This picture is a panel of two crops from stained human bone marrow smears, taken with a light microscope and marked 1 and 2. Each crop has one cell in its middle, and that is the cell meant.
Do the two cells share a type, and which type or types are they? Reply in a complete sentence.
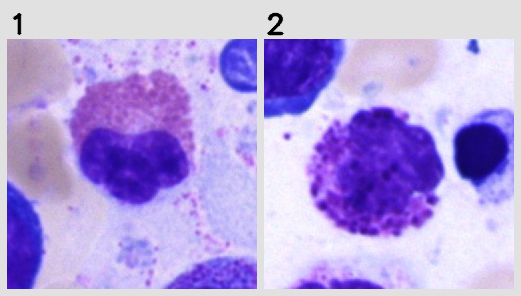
No, crop 1 shows an eosinophil, with a basophil shown in crop 2.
